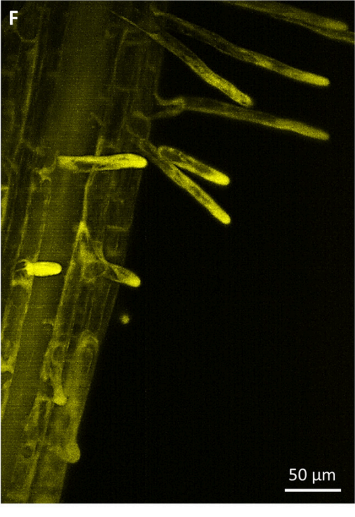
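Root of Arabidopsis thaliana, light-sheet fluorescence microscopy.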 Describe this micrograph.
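The differentiation zone of a root is seen from the side, with elongated epidermal cells running in files along its length. From some of these surface cells, tubular root hairs grow out at an angle, several of them long and slender, others short and just emerging. The root hairs are of even width along their length and end in rounded tips, which shine most brightly. The cells that bear hairs are outlined more brightly than their neighbours, and the fluorescence fills the cytoplasm of the outgrowths.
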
